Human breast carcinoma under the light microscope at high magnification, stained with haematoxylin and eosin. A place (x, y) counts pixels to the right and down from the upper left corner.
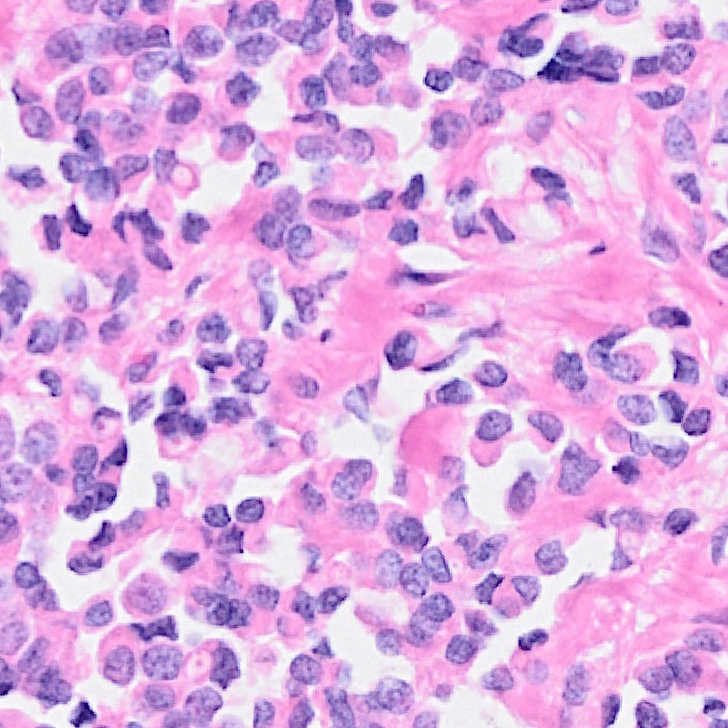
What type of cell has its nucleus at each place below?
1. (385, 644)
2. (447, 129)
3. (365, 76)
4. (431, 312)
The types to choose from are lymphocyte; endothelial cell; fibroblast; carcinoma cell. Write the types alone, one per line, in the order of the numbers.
carcinoma cell
carcinoma cell
carcinoma cell
endothelial cell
